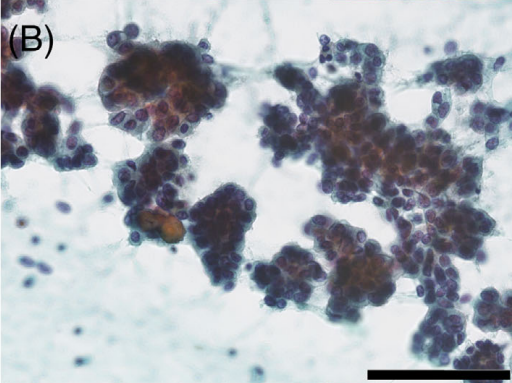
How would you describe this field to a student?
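The cells are small with a high nuclear-to-cytoplasmic ratio, and the nuclei are fairly uniform in size. Some clusters take an orange-brown tint, and single cells lie scattered in the pale background between the groups.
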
